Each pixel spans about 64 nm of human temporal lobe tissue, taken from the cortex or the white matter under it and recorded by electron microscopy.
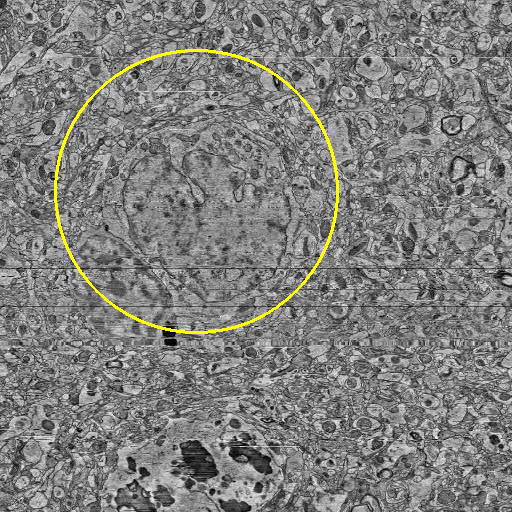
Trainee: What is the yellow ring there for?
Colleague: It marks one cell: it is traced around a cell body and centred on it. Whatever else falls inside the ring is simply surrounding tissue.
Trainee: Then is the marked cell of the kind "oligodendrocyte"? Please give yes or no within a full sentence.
No, the marked cell at the centre of the yellow ring is of a different kind.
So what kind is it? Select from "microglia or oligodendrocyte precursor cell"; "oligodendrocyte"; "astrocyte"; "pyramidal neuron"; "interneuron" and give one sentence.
What the ring is centred on is an interneuron.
